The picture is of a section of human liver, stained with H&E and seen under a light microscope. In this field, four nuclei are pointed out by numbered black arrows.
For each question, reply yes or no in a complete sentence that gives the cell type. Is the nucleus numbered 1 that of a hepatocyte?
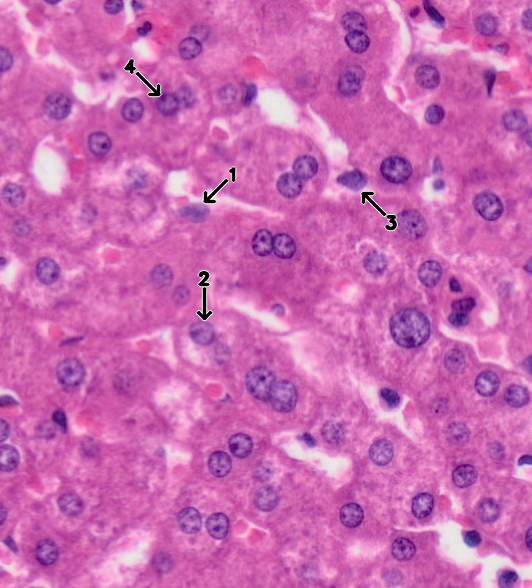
No, number 1 is not a hepatocyte but an endothelial cell.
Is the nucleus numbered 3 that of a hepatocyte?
No, sorry, the cell labelled 3 is not a hepatocyte; it is an endothelial cell.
